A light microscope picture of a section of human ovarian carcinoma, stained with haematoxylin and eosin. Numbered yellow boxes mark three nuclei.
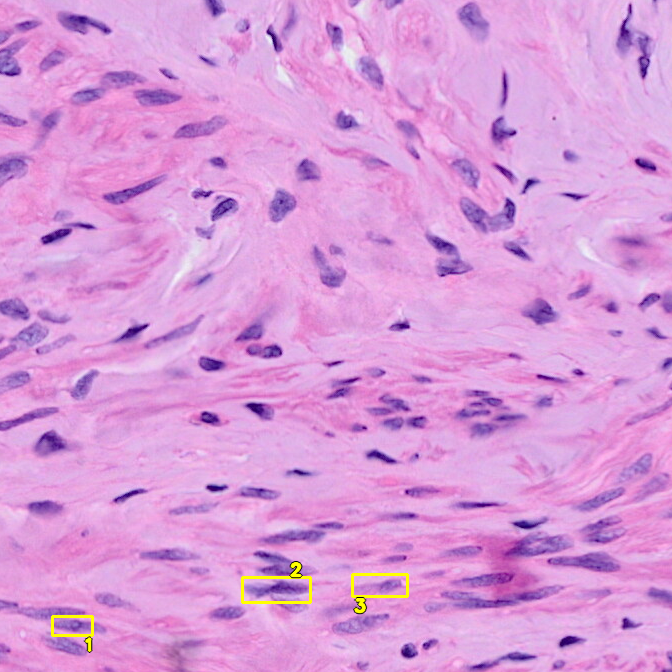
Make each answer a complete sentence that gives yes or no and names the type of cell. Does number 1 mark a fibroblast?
No, cell 1 should be classed as a smooth muscle cell, not as a fibroblast.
